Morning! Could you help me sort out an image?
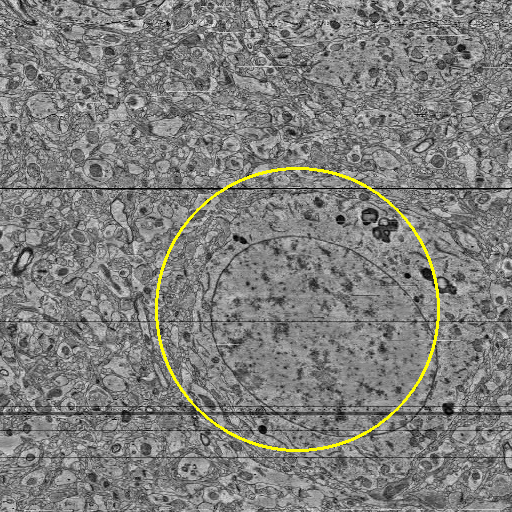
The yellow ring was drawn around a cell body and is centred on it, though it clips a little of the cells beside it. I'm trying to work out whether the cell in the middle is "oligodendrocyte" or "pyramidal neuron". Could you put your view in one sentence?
The ringed cell body is that of a pyramidal neuron.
